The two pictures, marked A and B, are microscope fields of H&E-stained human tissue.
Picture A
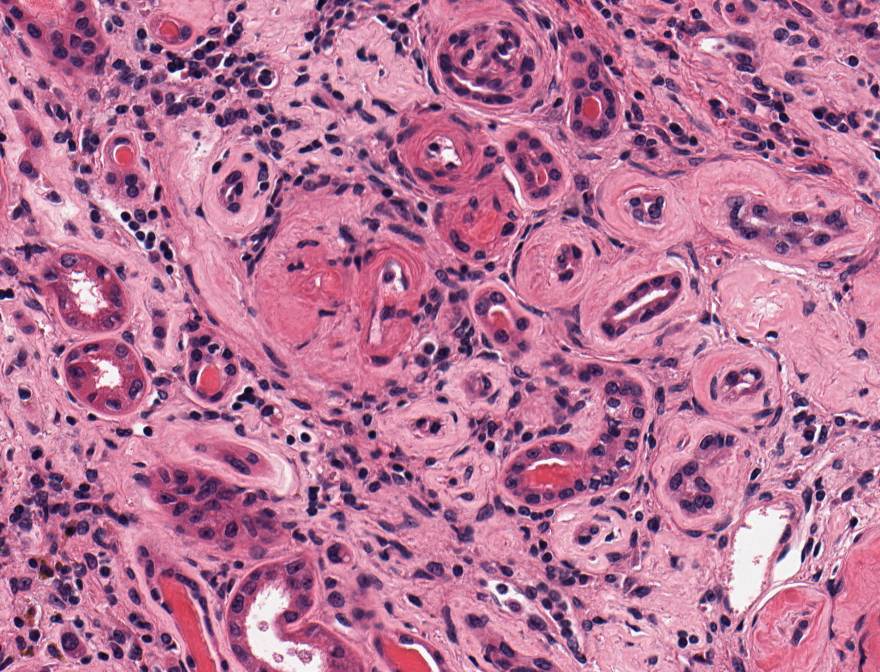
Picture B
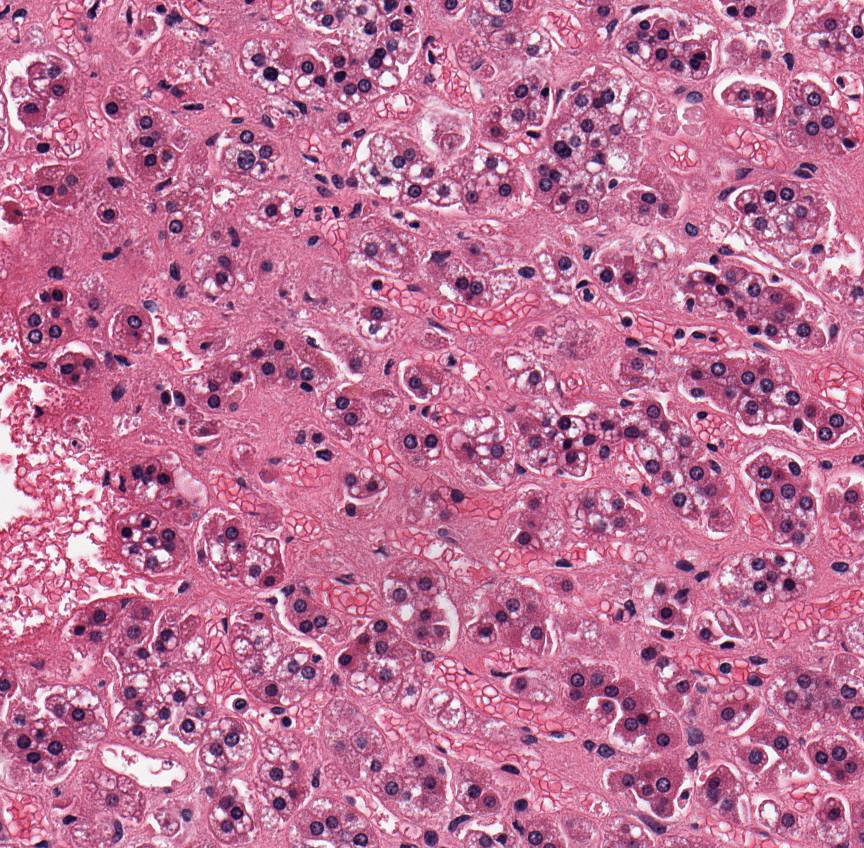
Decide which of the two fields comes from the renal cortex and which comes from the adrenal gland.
A: renal cortex
B: adrenal gland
